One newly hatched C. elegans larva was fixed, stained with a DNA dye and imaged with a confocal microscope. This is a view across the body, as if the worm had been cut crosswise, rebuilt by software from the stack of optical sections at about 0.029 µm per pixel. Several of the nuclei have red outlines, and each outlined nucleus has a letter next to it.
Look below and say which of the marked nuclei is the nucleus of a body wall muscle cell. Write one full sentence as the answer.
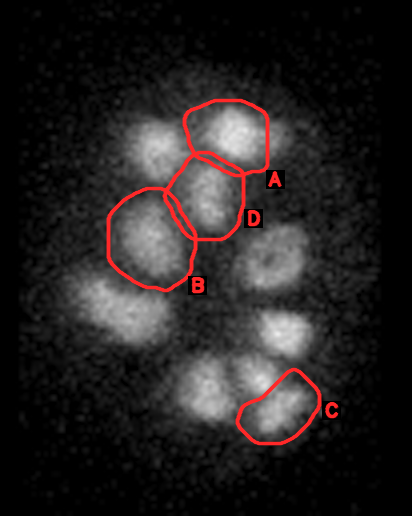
Nucleus C belongs to a body wall muscle cell.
